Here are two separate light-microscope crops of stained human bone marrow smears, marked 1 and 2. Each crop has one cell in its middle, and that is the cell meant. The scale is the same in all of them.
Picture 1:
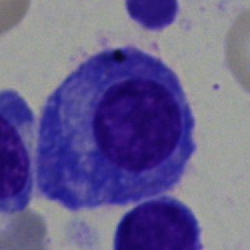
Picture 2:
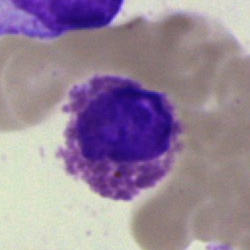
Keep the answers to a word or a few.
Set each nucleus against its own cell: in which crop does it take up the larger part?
2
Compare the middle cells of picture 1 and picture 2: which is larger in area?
1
